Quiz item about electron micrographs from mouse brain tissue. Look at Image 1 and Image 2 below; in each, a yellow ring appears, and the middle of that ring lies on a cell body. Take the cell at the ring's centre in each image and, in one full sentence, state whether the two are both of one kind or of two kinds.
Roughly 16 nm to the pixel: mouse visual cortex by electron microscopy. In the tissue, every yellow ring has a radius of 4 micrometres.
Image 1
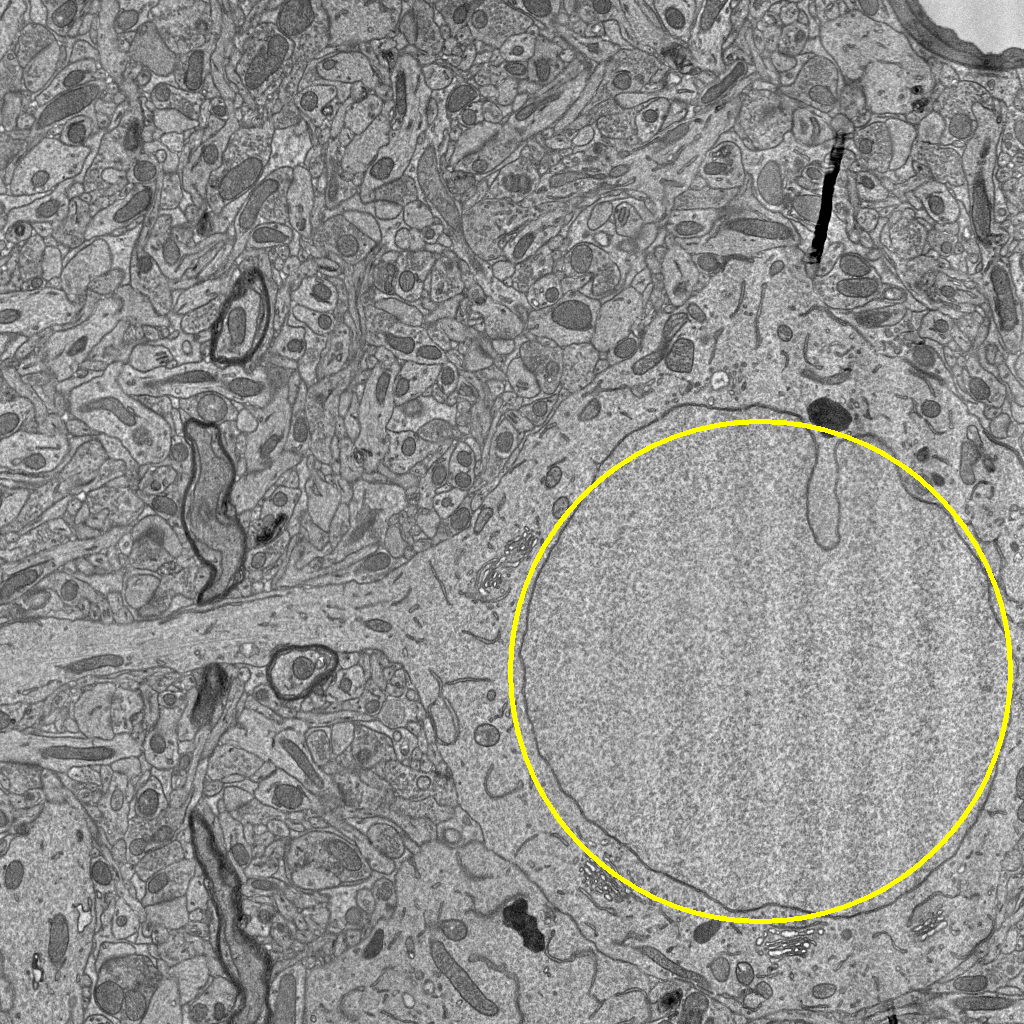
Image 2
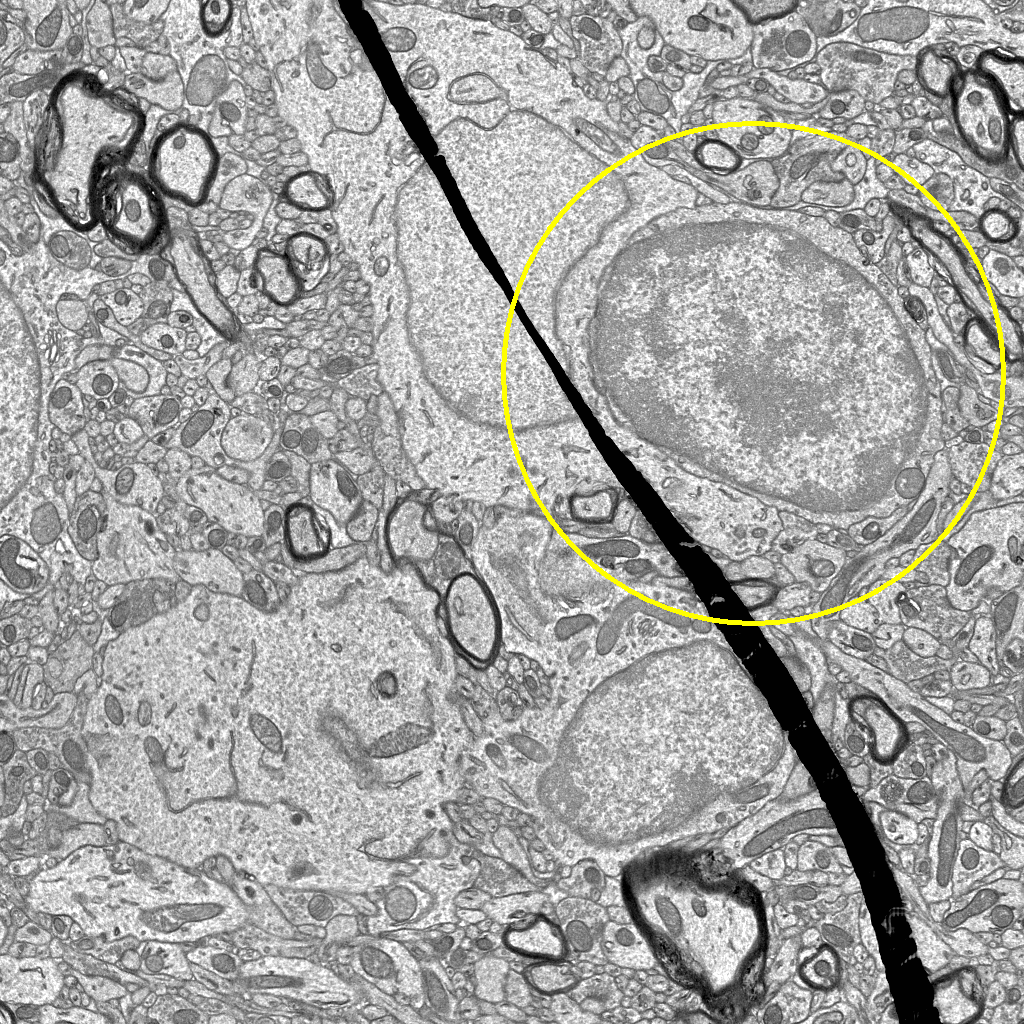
In Image 1 and Image 2, the cells at the ring centres are of two kinds.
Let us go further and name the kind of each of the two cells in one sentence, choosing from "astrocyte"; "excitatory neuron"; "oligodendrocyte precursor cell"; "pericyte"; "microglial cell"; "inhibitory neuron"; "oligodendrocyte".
The ring of the first picture is on an excitatory neuron, the ring of the second on an oligodendrocyte.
